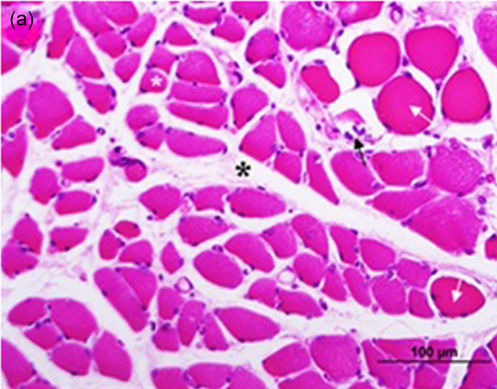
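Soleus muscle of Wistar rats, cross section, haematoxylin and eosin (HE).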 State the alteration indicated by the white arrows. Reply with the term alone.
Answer: Amorphous and hypereosinophilic fibers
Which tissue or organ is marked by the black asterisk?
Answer: Connective tissue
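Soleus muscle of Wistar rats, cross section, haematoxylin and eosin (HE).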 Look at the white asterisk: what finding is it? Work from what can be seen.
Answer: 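Fibre hypotrophy. Small fibres lie in a cluster among larger ones.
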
